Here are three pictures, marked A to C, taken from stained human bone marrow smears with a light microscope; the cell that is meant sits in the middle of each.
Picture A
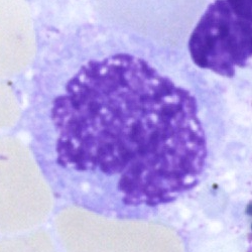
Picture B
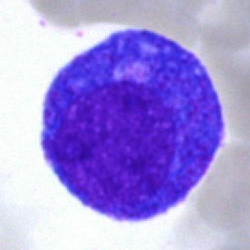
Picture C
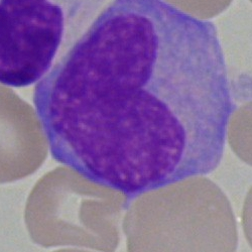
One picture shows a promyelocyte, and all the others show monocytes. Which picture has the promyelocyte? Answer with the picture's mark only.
B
